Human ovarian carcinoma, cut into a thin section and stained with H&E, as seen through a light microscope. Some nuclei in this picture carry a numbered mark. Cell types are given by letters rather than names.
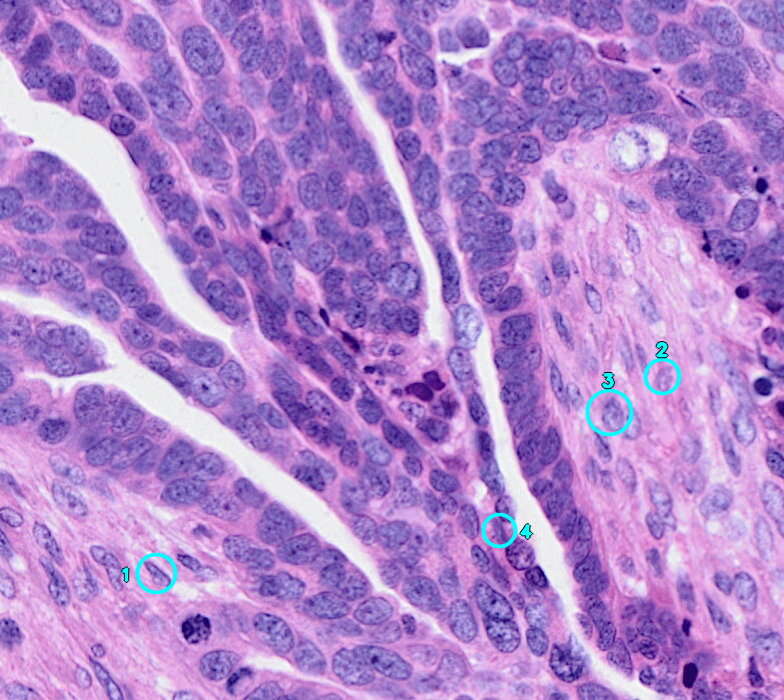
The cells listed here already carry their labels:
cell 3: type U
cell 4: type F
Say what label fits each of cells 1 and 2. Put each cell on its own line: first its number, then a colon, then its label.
1: type U
2: type U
